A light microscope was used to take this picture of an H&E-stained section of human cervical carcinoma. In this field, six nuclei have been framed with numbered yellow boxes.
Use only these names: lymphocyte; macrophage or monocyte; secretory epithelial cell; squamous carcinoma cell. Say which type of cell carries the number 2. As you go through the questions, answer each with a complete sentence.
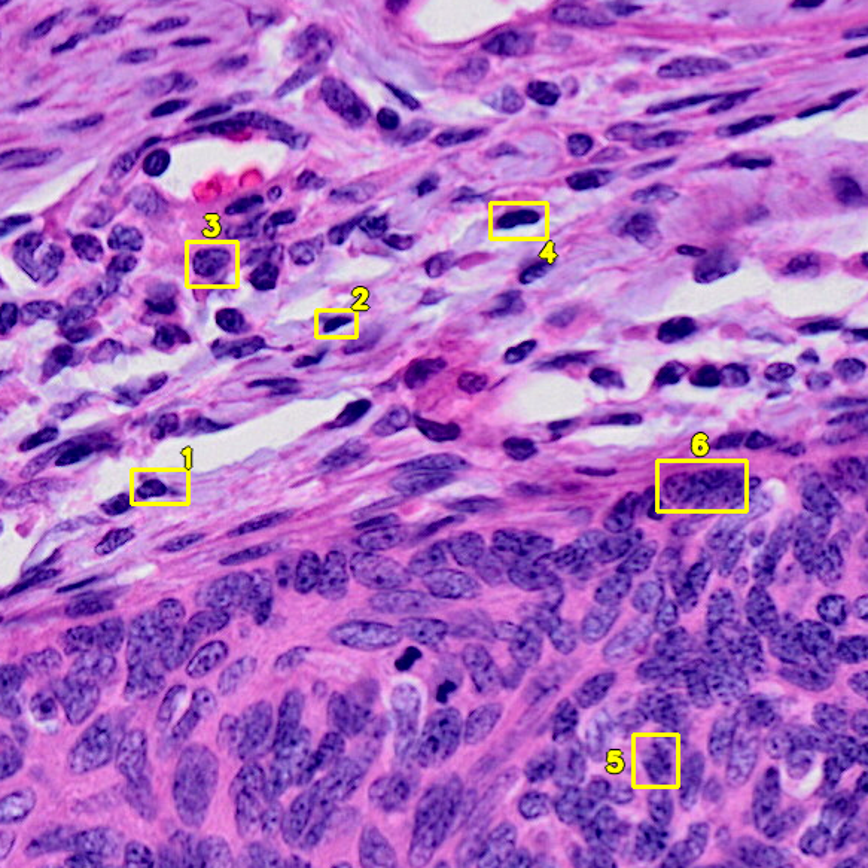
The marked cell with the number 2 is recognised as a lymphocyte.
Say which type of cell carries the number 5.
Here the cell numbered 5 is a squamous carcinoma cell.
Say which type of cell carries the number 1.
Cell 1 should be recorded as a lymphocyte.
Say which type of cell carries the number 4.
The cell carrying label 4 is identified as a lymphocyte.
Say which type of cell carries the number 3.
That cell with number 3 is a lymphocyte.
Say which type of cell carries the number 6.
The nucleus marked 6 is the nucleus of a squamous carcinoma cell.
